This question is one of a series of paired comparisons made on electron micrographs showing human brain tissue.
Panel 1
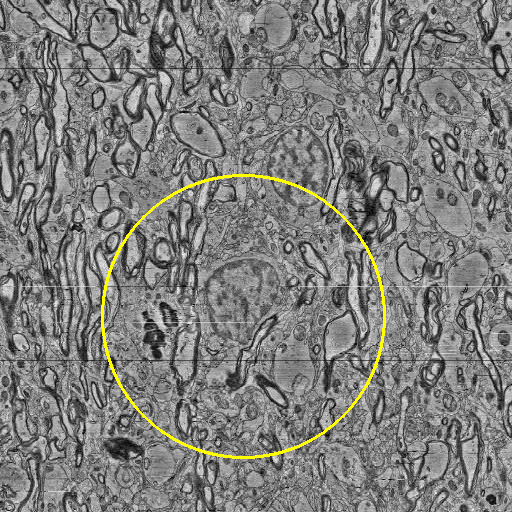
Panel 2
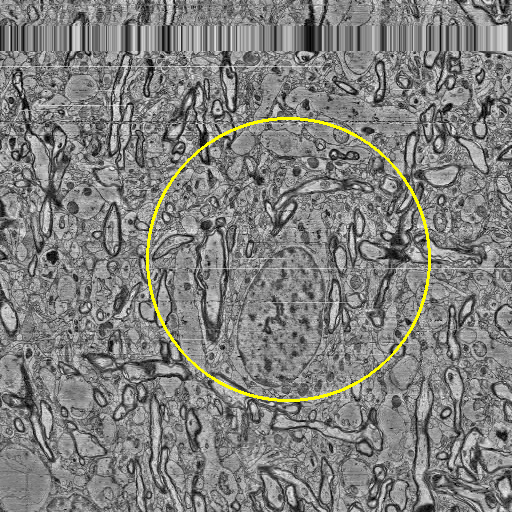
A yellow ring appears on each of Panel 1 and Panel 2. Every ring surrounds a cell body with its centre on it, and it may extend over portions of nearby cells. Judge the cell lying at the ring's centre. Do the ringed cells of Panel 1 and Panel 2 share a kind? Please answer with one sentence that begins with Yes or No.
No, the ring-centre cell in Panel 1 and the one in Panel 2 are of two kinds.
